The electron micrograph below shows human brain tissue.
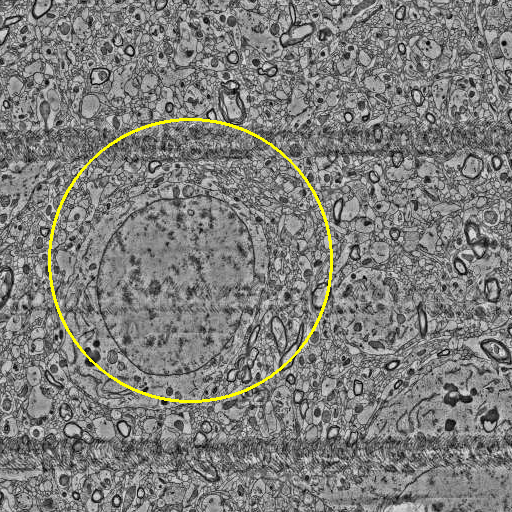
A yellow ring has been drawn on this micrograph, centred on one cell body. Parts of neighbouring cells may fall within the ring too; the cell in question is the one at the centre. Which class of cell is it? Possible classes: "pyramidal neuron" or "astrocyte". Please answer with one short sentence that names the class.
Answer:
In the centre of the ring sits a pyramidal neuron.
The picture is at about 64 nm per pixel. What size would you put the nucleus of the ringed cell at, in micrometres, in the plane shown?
The nucleus is approximately 12 micrometers long by 10 micrometers wide in this plane.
